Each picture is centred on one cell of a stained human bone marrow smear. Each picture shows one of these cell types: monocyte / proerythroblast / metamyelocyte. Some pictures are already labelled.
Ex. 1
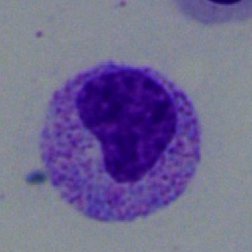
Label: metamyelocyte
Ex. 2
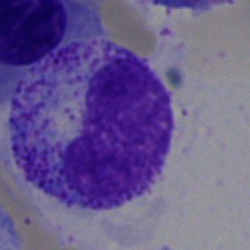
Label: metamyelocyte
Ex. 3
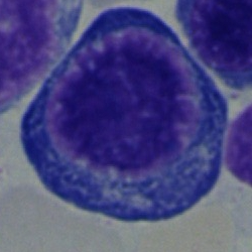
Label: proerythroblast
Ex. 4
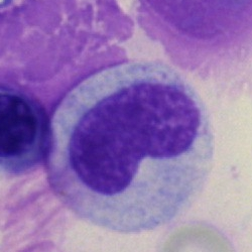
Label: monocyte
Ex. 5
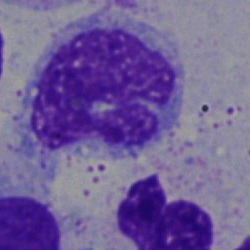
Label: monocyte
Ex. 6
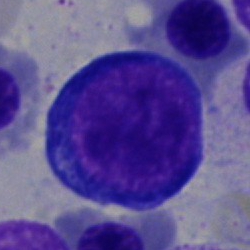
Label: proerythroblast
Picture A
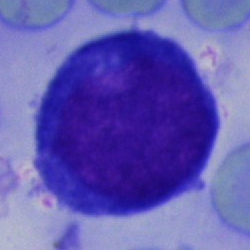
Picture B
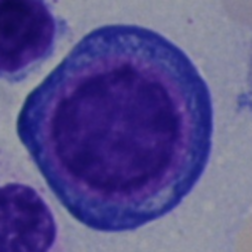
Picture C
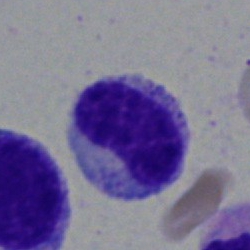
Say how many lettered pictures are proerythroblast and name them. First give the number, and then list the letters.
2, namely A, B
